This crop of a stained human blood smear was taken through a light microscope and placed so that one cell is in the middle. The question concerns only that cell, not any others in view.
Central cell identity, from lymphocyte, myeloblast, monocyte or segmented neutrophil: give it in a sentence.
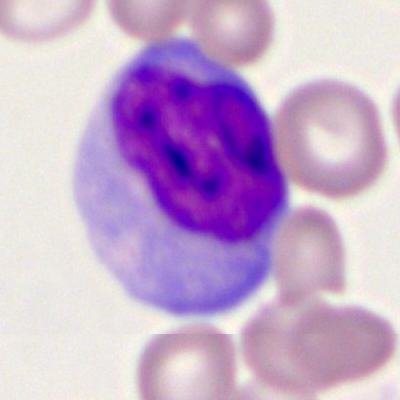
The centrally positioned cell in the crop represents a monocyte.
